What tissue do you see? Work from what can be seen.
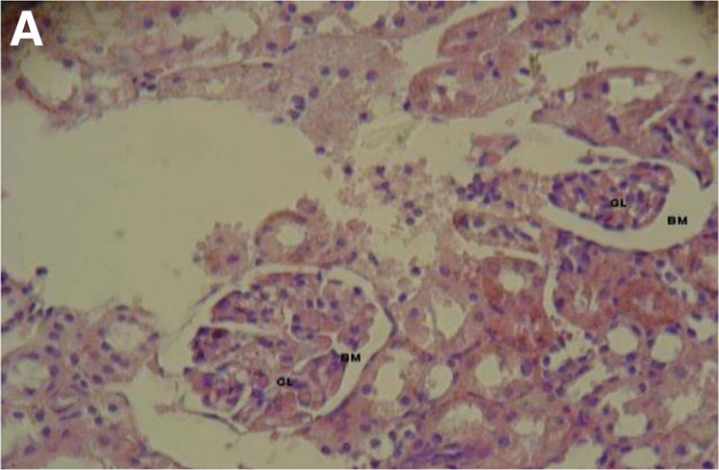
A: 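Rounded capillary tufts lie inside clear spaces bounded by a thin capsule. Many cross-sectioned tubules lined by cuboidal epithelium with pink cytoplasm surround them.
Answer: kidney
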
